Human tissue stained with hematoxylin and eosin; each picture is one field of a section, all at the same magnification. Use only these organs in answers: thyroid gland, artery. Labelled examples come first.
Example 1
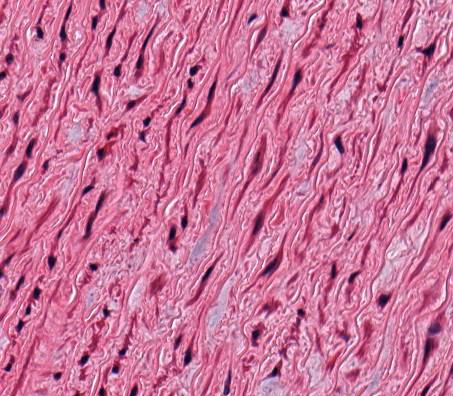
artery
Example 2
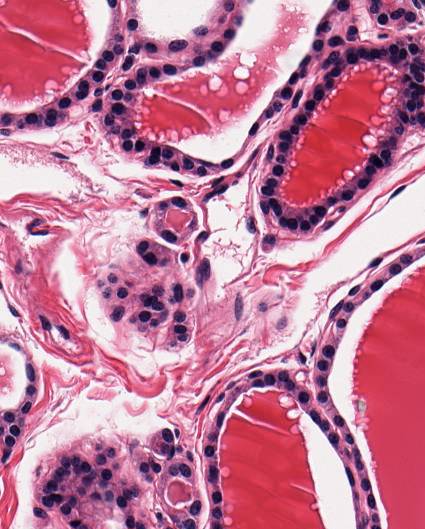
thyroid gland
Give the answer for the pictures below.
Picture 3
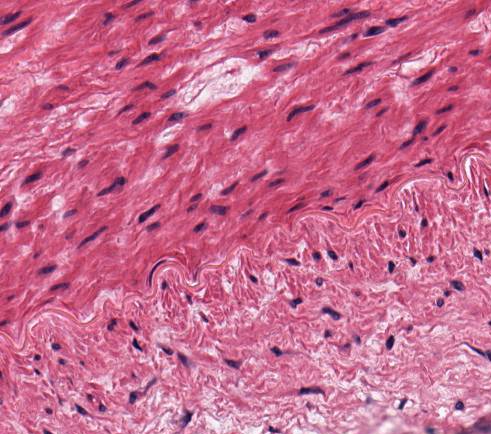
artery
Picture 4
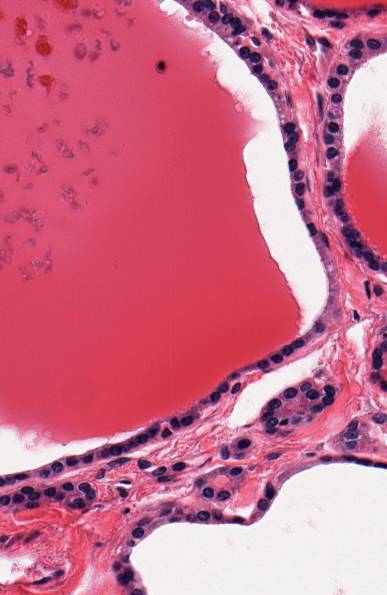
thyroid gland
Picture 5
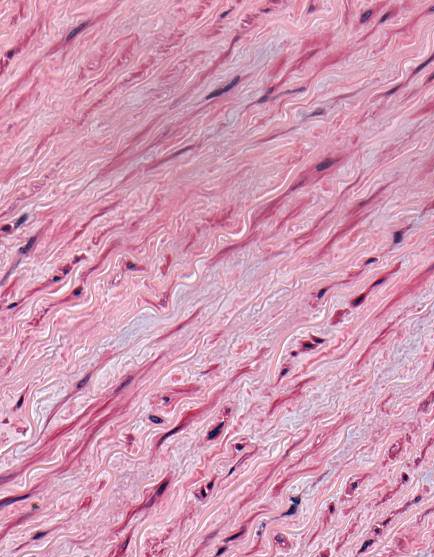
artery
